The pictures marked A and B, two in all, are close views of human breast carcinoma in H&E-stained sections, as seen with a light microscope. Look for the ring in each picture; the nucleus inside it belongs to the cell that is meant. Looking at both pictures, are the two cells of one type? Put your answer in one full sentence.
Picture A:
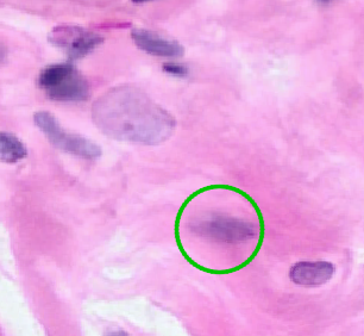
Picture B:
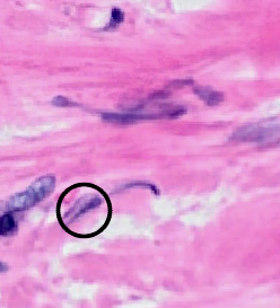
No, the types are not the same, since picture A shows a fibroblast and picture B an endothelial cell.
